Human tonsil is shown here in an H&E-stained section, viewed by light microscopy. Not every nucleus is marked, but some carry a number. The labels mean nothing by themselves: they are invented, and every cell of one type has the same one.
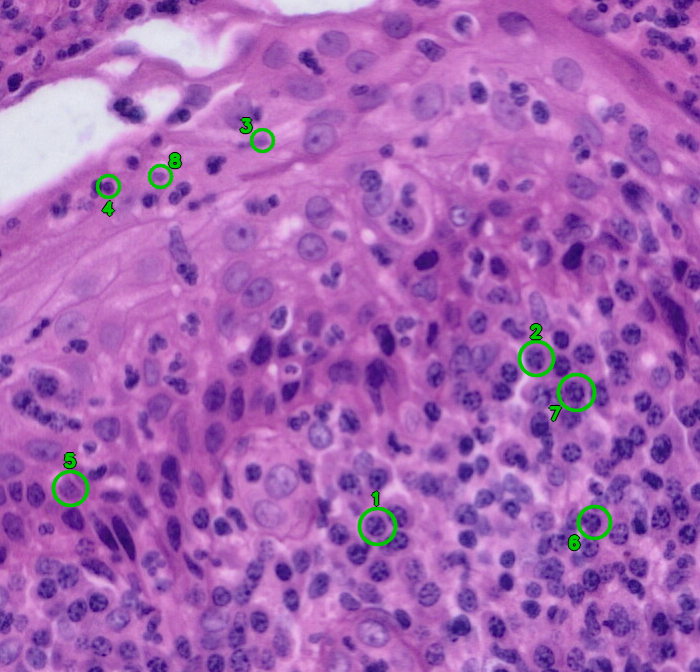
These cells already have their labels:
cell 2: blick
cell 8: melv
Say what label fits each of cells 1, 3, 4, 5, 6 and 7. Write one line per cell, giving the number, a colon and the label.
1: blick
3: melv
4: melv
5: melv
6: blick
7: blick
